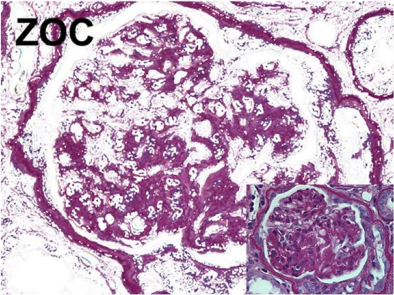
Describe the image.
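This is a glomerulus from the kidney cortex, shown as a rounded capillary tuft inside its capsule. Within the tuft, dense dark pink material lies thickly between the capillary loops, so that only small open spaces remain. The capsule around the tuft is outlined by a strong pink line, separated from the tuft by a narrow clear space. Tubule profiles with pink-outlined walls border the glomerulus at the edges.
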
